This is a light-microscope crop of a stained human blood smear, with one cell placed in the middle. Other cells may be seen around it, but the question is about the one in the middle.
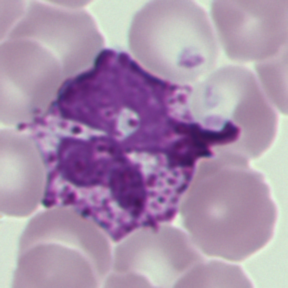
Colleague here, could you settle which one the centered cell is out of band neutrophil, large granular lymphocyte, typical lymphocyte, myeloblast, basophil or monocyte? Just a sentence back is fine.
The middle cell in this particular crop is a basophil.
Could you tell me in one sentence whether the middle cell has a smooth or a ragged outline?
This cell does not have a smooth edge; it is ragged or extended into projections.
